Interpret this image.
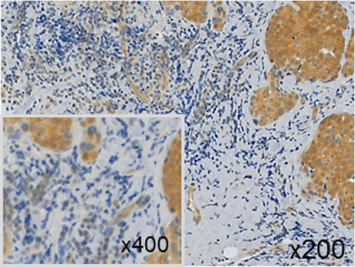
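The tumor cells in the clusters are large, with abundant brown-stained cytoplasm and rounded nuclei, and they are packed closely together. Between the clusters lies pale fibrous stroma containing small, often elongated, blue nuclei with little or no brown stain. Denser groups of small blue nuclei are also present in the stroma at one side of the field. The clusters stand out sharply from the surrounding tissue by their colour and crowding.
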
